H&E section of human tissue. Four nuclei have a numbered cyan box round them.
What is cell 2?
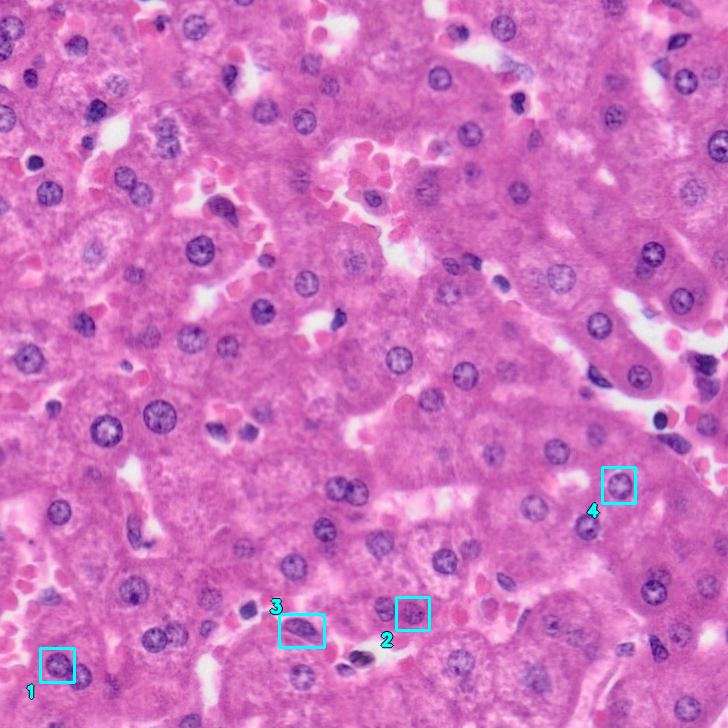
hepatocyte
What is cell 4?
hepatocyte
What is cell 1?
hepatocyte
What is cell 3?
Kupffer cell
